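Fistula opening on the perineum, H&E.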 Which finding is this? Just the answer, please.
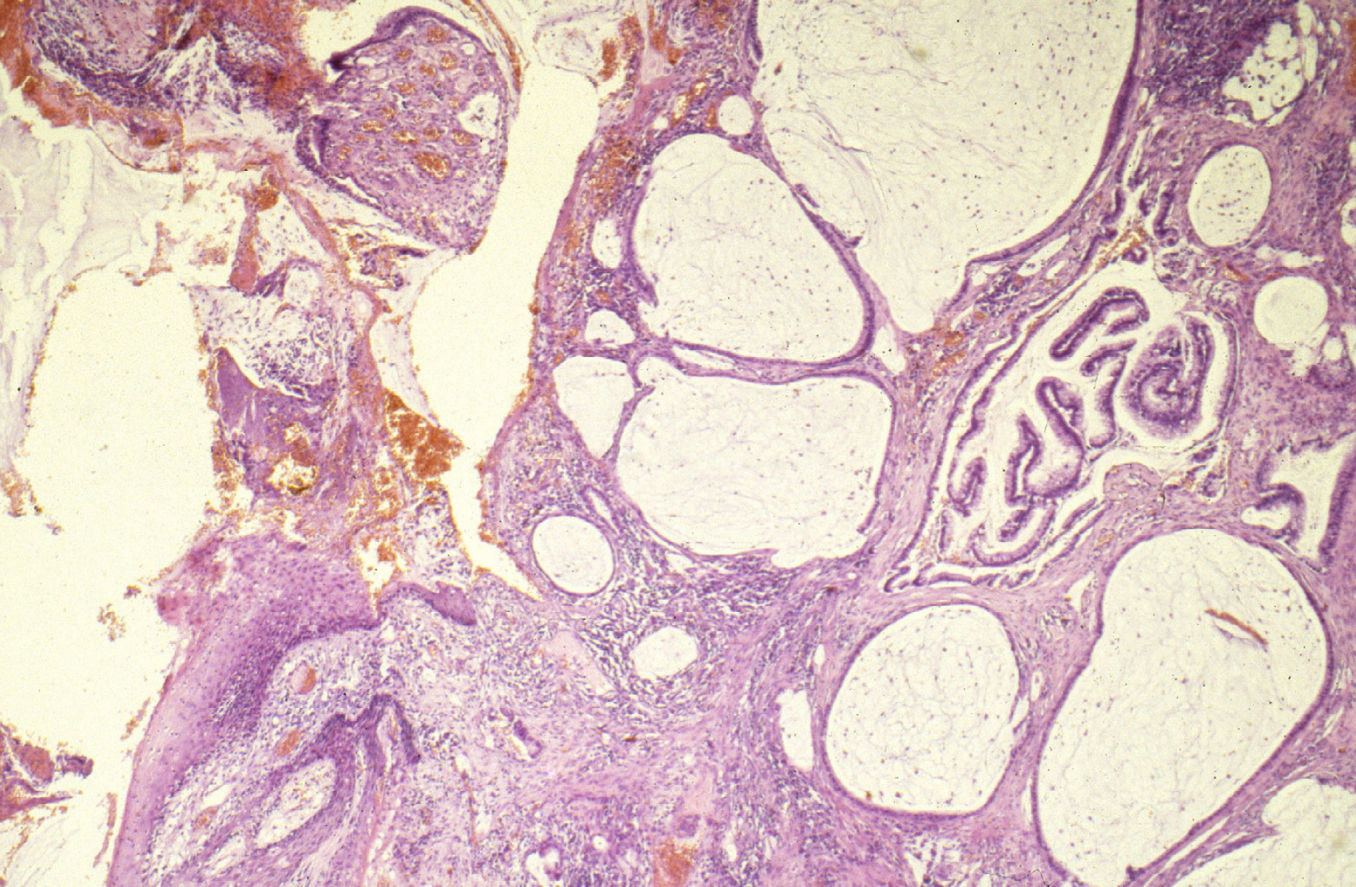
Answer: Mucinous adenocarcinoma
